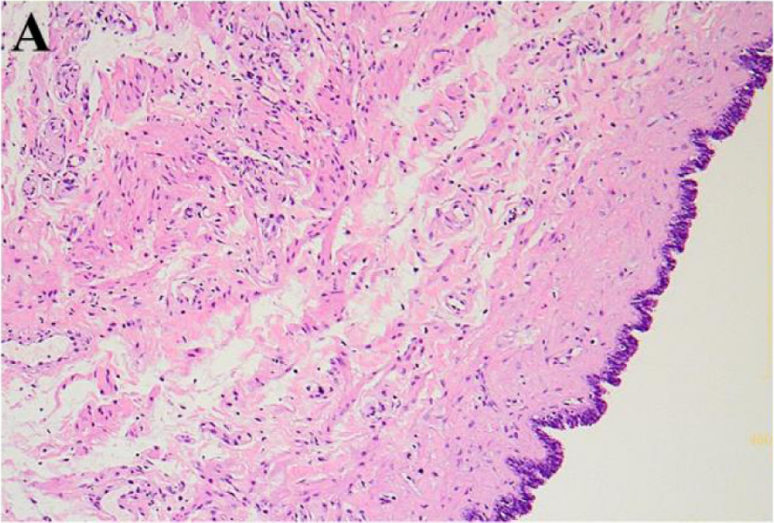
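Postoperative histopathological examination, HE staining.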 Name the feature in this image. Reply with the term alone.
a cystic wall-like structure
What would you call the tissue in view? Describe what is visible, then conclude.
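Thick wall of pink collagenous stroma beneath a thin purple lining. Bundles of spindle cells with elongated nuclei run through the wall. Small vessels are scattered in the wall. So: fibrous and smooth muscle tissue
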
